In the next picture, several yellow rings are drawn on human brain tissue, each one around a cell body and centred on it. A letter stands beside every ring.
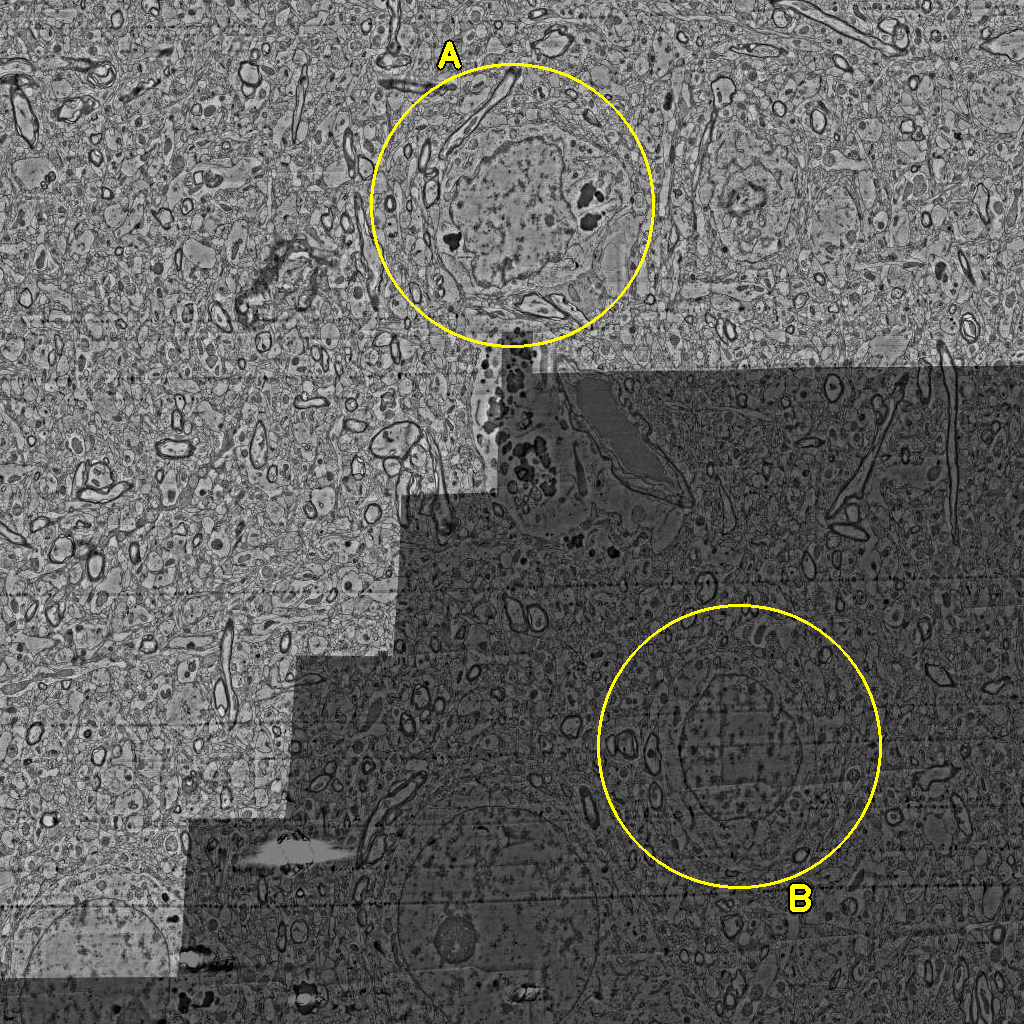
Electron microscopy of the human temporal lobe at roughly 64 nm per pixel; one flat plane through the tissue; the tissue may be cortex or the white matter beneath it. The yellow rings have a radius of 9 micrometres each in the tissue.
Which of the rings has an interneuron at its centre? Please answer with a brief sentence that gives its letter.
Ring A has it at its centre.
